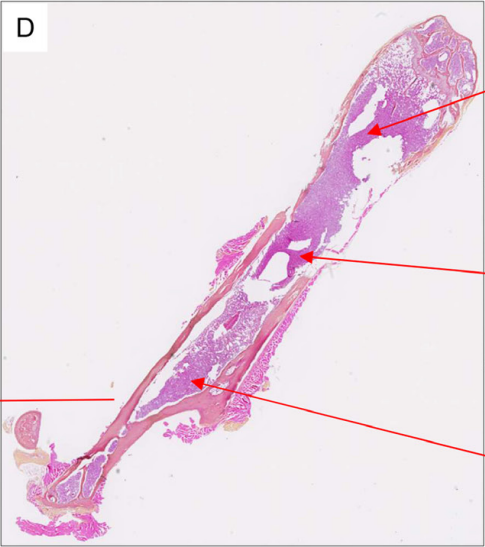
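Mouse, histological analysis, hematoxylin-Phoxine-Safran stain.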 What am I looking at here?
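The shaft is bounded on both sides by thin, pink-staining cortical bone. Between these walls the marrow cavity is filled with densely cellular, purple-staining tissue. That tissue is interrupted in places by pale, empty clefts. The upper end widens into a rounded end of the bone. At the lower end, further bone and soft tissue lie next to the section, and three red arrows point to separate spots within the marrow along the shaft.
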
